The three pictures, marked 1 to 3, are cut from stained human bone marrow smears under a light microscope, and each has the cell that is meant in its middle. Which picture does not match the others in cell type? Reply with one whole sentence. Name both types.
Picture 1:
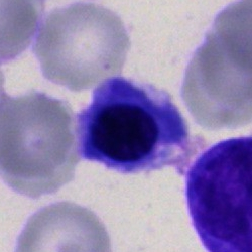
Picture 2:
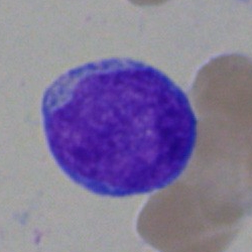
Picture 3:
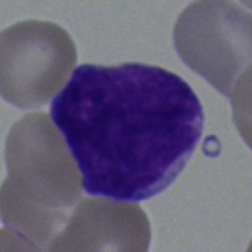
The different one is picture 1; it shows an erythroblast, whereas all the others show blasts.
